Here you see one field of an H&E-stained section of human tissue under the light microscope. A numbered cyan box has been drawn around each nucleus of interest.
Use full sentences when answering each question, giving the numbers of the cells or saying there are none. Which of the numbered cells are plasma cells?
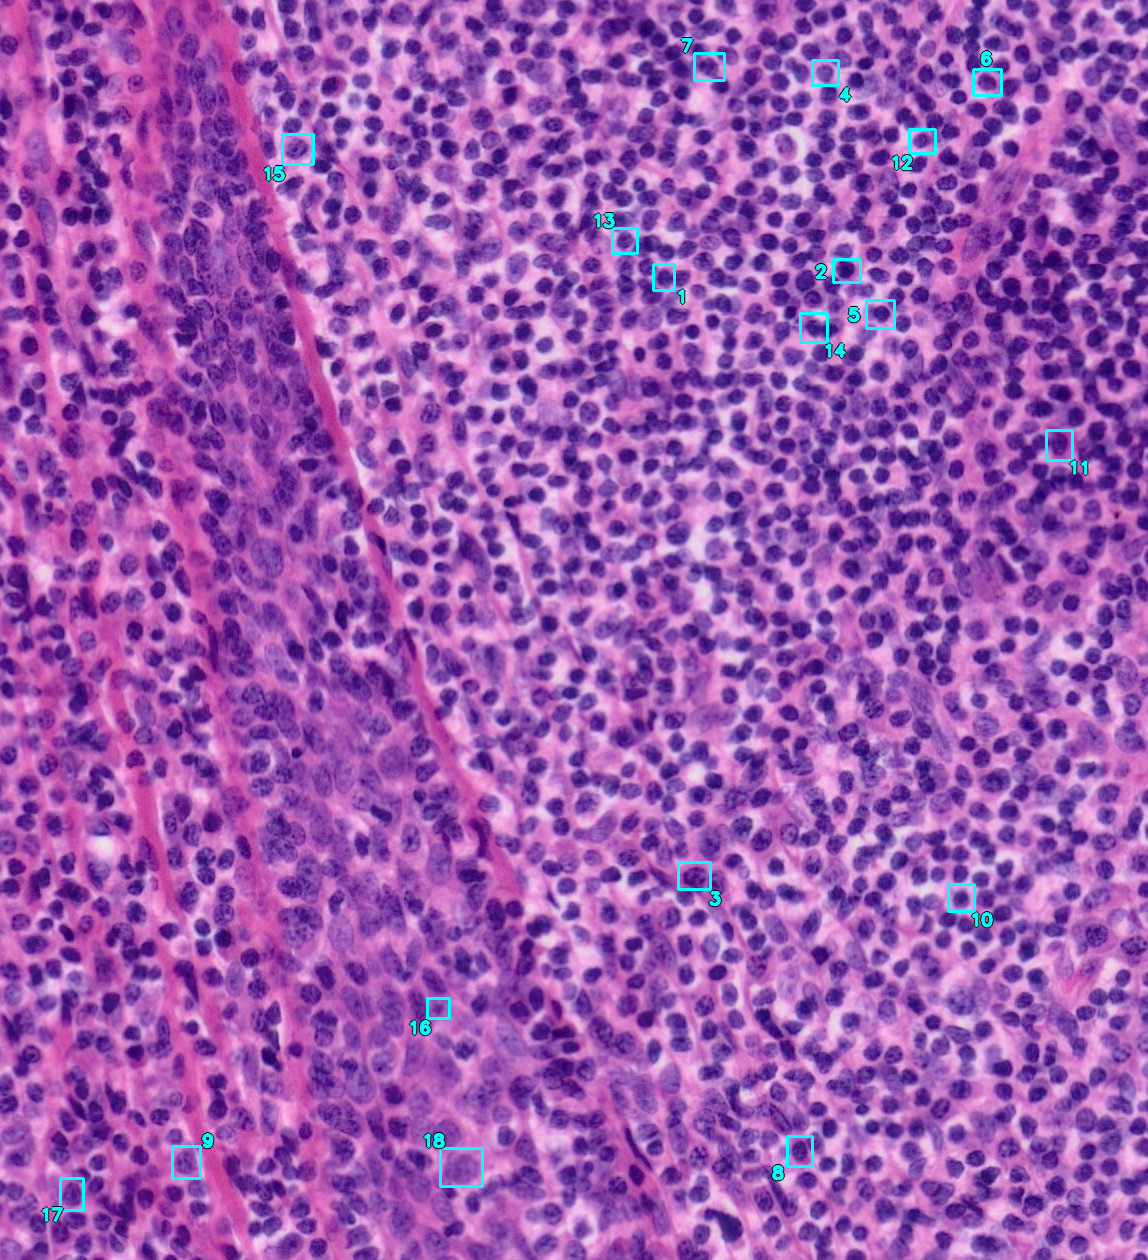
The cells marked with the numbers 3, 8, 9, 11, 15 and 17 are plasma cells.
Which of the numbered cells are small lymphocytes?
The cells 1, 2, 4, 5, 6, 7, 10, 12, 13 and 14 in this section are small lymphocytes.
